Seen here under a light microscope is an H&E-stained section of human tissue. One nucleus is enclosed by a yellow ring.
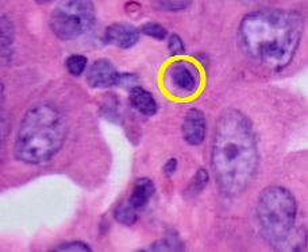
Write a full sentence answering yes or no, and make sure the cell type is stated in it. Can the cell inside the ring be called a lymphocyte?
Yes, the cell inside the ring is identified as a lymphocyte in this section.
